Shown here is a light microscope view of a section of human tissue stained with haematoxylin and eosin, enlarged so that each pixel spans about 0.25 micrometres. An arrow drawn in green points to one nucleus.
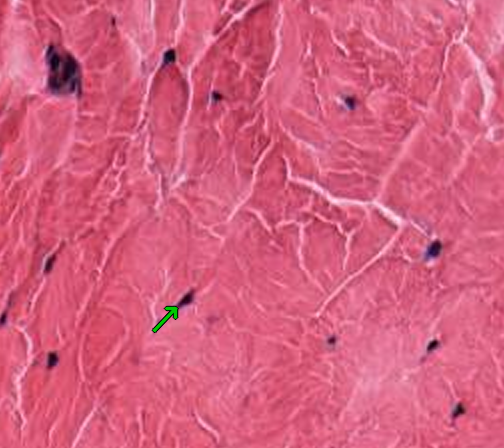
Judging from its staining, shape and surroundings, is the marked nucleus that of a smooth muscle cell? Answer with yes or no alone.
no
